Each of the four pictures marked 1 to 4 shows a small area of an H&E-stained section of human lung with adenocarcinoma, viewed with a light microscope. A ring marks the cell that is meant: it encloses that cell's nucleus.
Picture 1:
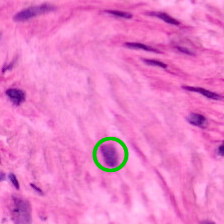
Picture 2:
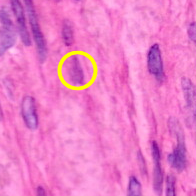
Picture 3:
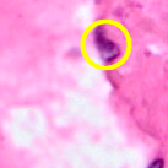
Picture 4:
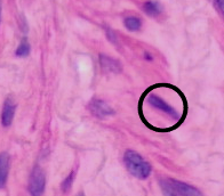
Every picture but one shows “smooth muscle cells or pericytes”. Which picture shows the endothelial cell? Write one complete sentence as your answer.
The picture with the endothelial cell is 3.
